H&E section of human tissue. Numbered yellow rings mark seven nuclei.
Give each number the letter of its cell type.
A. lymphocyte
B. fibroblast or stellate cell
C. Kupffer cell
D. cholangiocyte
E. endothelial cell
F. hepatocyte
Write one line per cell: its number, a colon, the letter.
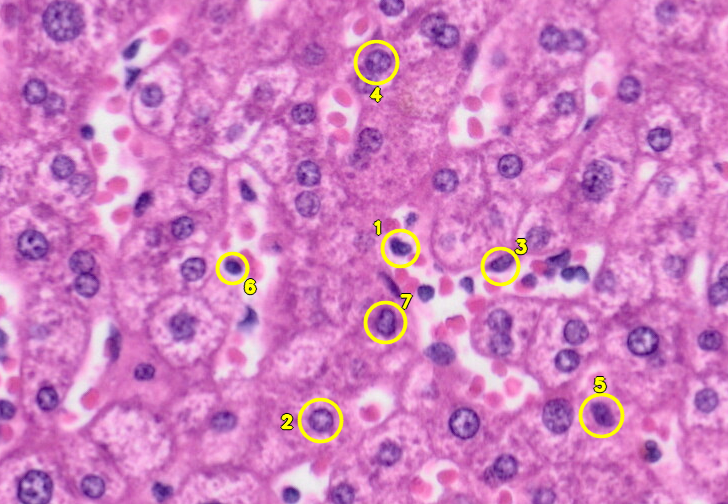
1: A
2: F
3: C
4: F
5: B
6: A
7: F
